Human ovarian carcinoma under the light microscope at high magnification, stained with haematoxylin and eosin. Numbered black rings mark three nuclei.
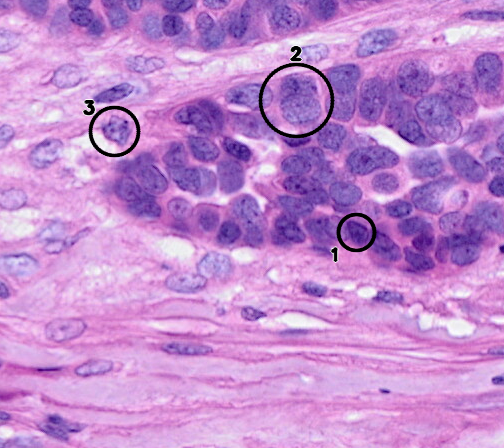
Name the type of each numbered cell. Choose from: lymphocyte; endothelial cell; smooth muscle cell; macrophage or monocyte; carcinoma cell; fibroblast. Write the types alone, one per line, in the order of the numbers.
carcinoma cell
carcinoma cell
macrophage or monocyte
